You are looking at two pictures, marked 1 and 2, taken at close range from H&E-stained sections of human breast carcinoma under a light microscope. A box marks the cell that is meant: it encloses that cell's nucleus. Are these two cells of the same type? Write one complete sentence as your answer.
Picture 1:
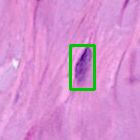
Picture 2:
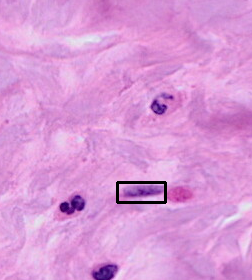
Yes, they are the same type: both are fibroblasts.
